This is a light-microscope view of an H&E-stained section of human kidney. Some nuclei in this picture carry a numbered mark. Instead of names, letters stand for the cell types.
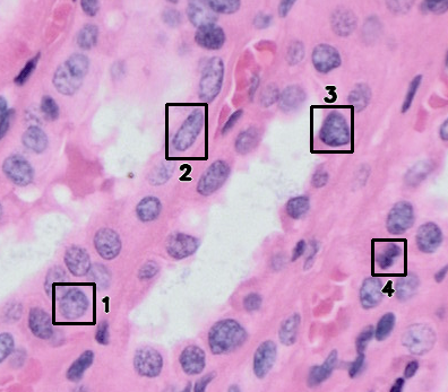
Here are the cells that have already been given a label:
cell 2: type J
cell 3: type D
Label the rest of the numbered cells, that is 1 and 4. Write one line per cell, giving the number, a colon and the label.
1: type J
4: type D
